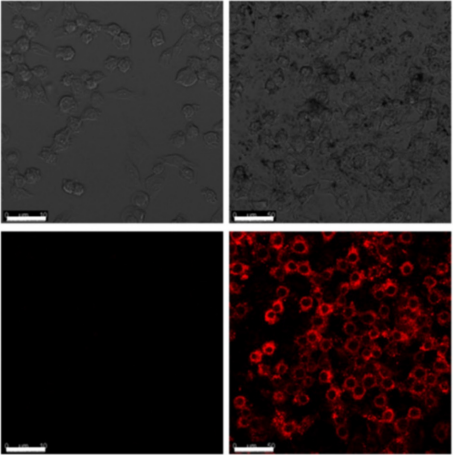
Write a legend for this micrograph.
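These are cultured cells seen in four fields, with two grey transmitted-light images above and two dark fluorescence images below. The cells are small and mostly rounded, and they lie scattered or in loose groups on the surface. Some of them have short extensions. In one grey field the background looks grainier and darker around the cells. One fluorescence field is entirely black. In the other, red rings outline many of the cells, and their centres are dimmer than their rims, so the signal seems to sit at the cell periphery and in the cytoplasm rather than evenly across the cell.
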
